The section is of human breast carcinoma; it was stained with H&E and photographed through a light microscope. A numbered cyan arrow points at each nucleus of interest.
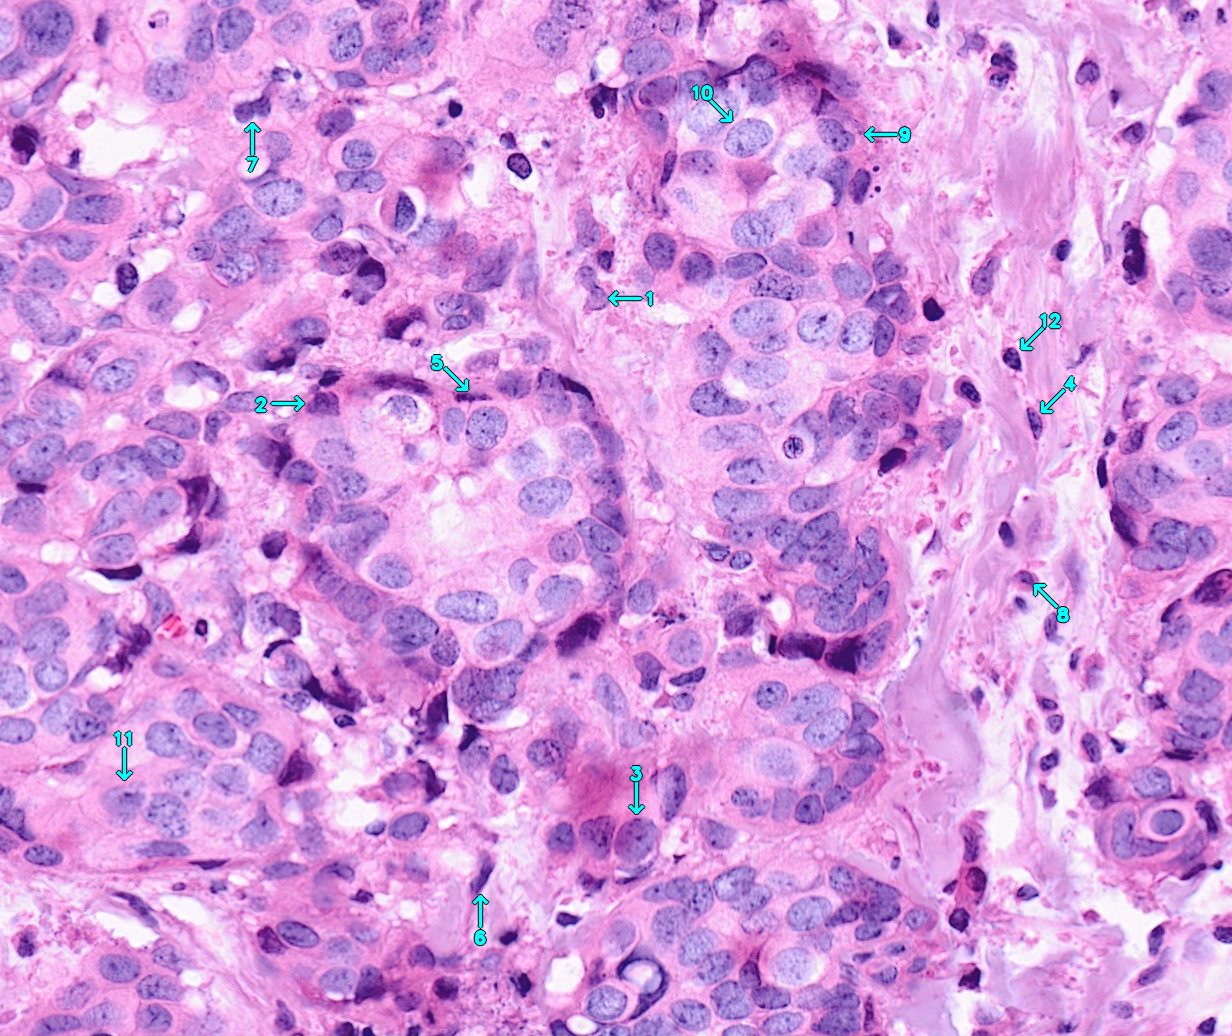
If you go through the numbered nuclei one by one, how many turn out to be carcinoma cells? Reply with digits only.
7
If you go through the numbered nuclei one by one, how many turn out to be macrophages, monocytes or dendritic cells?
1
